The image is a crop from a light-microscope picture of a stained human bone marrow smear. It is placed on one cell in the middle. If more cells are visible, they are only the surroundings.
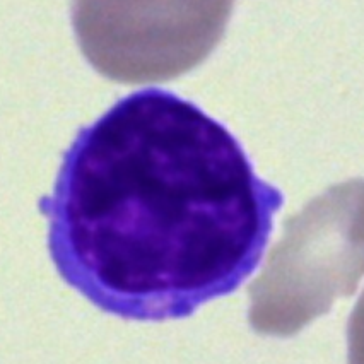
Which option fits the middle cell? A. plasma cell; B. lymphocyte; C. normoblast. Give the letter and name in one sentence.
Option B is correct in naming the middle cell a lymphocyte.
